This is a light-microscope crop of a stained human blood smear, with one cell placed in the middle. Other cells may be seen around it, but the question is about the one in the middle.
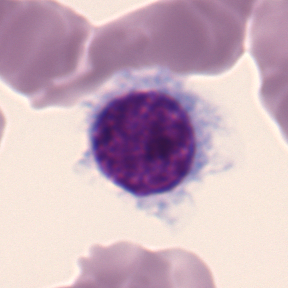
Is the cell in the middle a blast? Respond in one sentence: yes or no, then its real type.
No, the cell of interest here is a hairy cell and not a blast.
